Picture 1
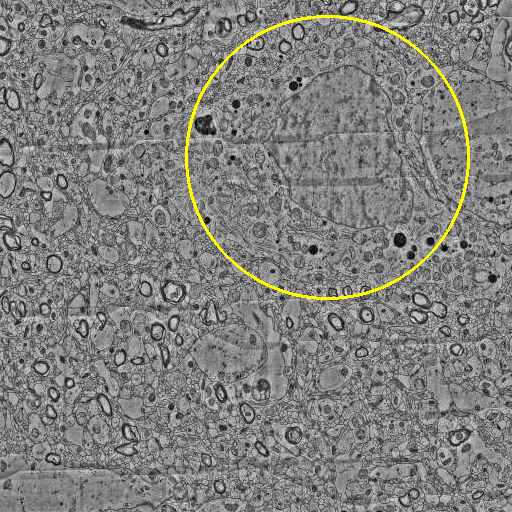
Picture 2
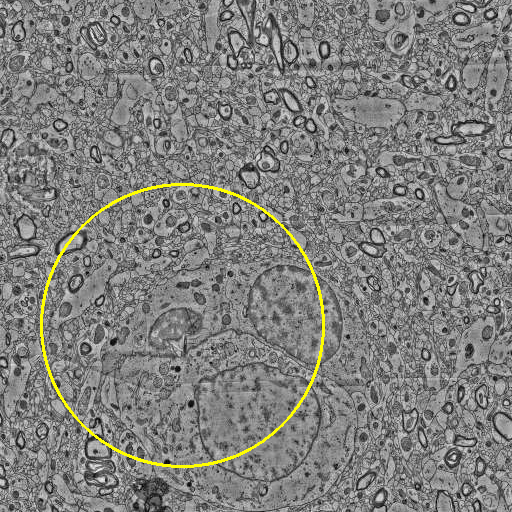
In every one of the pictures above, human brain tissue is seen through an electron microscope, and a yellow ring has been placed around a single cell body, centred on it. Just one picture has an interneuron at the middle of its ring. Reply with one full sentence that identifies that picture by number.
It is picture 1 that shows the wanted cell at its ring's centre.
